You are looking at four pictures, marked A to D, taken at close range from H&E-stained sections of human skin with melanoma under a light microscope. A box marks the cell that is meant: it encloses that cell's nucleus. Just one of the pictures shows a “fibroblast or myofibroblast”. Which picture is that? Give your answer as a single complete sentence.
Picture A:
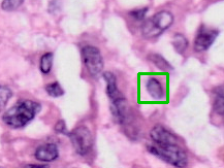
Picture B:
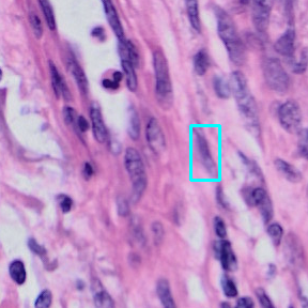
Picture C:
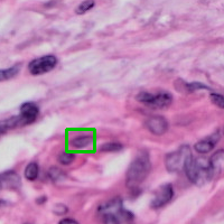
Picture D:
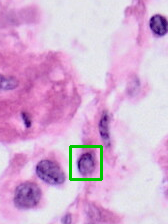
Picture B shows the “fibroblast or myofibroblast”.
